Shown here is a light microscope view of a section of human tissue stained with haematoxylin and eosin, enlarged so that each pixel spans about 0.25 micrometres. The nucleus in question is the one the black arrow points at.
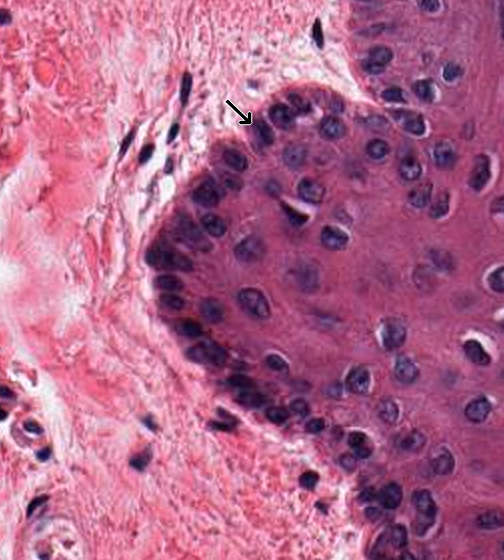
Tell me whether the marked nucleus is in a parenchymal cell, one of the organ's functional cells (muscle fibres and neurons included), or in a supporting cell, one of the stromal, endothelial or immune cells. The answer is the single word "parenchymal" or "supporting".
parenchymal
